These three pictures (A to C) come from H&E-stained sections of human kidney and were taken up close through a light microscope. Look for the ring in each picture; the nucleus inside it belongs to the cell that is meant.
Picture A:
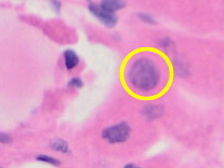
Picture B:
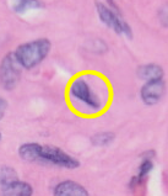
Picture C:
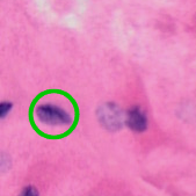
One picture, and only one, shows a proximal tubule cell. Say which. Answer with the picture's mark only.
A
